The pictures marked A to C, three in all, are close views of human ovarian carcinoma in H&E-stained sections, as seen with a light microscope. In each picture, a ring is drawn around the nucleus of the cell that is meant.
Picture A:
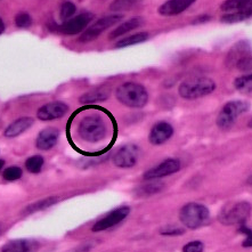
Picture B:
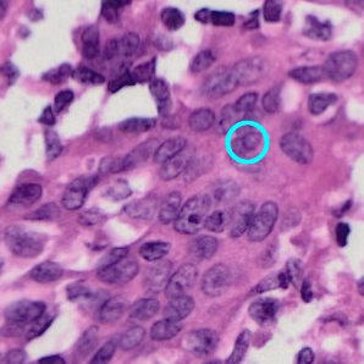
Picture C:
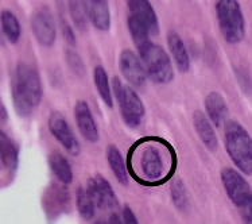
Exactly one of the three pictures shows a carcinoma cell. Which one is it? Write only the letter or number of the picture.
B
